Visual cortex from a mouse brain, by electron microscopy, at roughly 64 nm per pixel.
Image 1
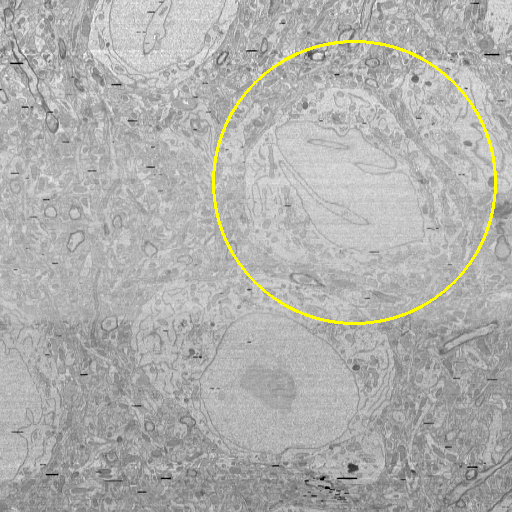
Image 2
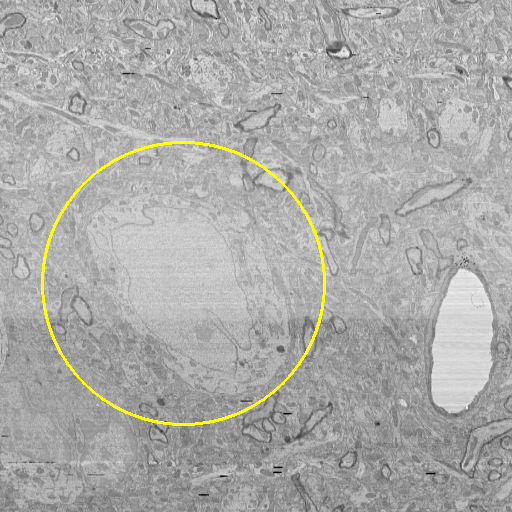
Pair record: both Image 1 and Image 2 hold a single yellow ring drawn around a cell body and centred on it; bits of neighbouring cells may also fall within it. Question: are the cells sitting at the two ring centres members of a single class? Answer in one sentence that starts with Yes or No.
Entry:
No, the ring-centre cells in Image 1 and Image 2 come from two classes.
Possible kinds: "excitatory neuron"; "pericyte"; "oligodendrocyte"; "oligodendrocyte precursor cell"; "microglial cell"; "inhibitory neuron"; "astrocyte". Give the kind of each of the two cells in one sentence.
The cell in the second picture is an excitatory neuron, and that in the first is an inhibitory neuron.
